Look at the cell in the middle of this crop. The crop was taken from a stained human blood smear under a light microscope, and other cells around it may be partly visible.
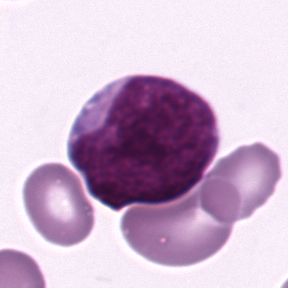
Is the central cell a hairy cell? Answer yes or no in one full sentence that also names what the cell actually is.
No, the central cell is a myeloblast; it should not be labelled a hairy cell.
